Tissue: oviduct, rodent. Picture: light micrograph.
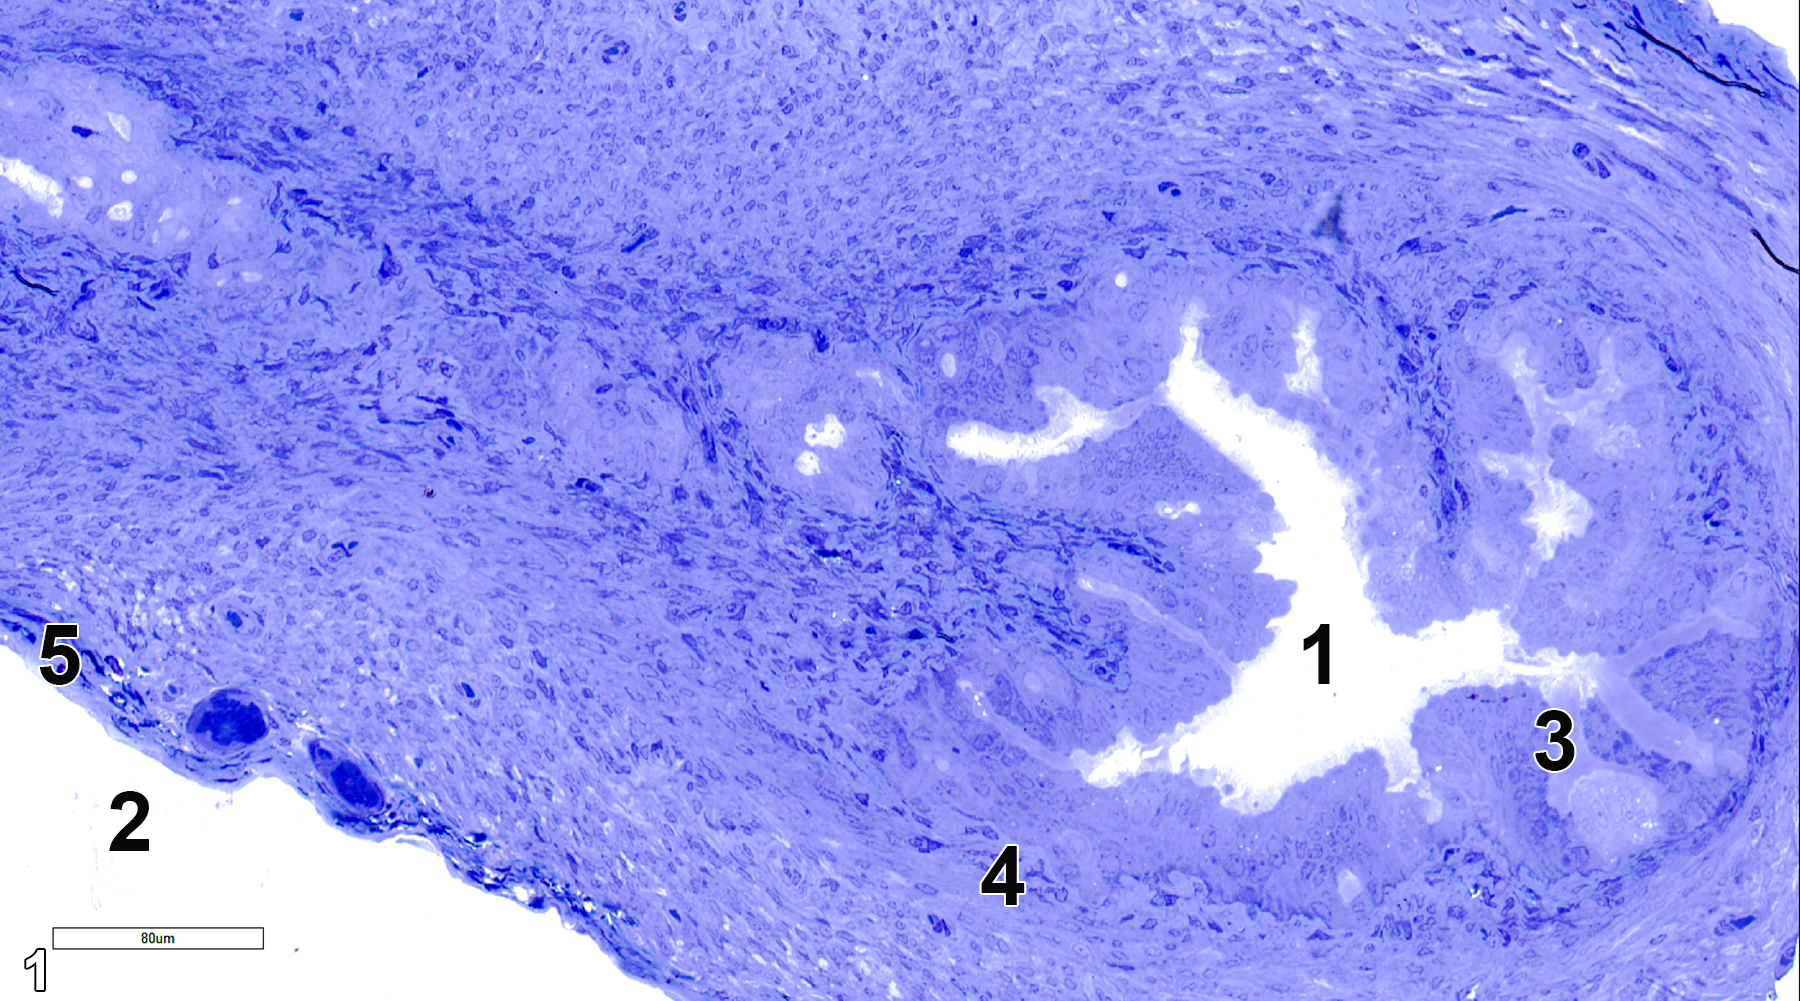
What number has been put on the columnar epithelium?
3.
